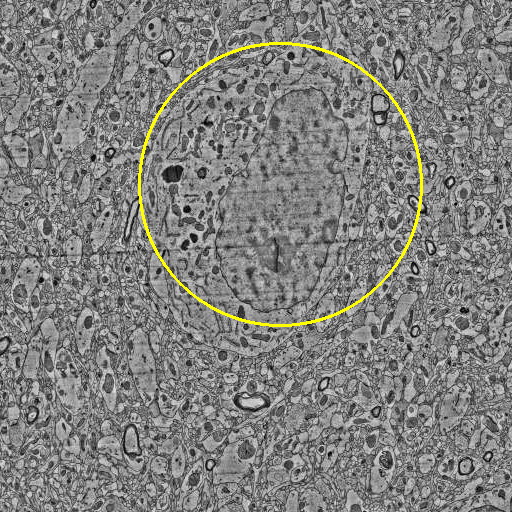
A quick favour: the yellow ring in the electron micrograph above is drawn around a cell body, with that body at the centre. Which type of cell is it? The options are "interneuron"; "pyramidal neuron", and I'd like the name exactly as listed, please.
interneuron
